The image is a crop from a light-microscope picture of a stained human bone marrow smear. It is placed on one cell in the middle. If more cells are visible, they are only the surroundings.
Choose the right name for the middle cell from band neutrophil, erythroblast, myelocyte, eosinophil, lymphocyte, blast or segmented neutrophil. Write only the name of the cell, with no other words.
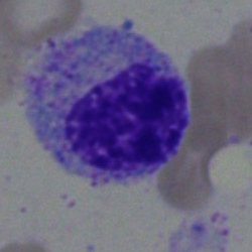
myelocyte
